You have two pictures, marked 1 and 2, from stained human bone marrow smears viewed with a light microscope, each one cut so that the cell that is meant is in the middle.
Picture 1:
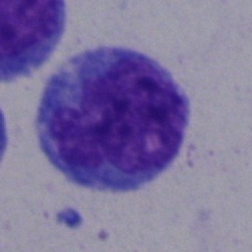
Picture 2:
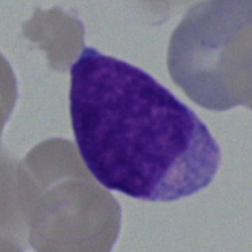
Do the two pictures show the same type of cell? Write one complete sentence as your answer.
Yes, the two pictures both show blasts.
